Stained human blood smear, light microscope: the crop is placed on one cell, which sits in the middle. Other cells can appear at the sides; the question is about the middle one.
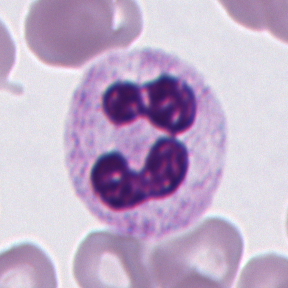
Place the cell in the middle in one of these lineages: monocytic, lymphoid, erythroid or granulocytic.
granulocytic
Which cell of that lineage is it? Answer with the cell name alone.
segmented neutrophil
